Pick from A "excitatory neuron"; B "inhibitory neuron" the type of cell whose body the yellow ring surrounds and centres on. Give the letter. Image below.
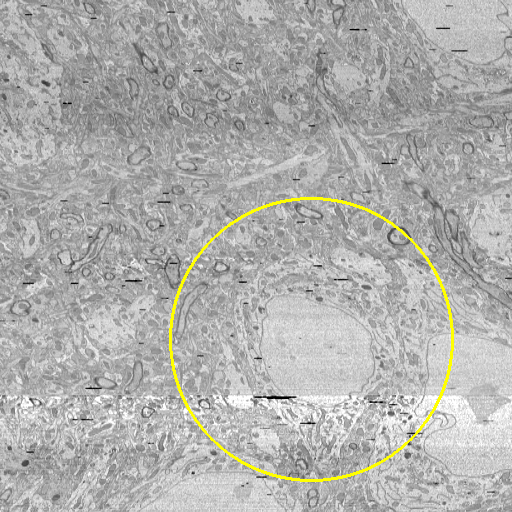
B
